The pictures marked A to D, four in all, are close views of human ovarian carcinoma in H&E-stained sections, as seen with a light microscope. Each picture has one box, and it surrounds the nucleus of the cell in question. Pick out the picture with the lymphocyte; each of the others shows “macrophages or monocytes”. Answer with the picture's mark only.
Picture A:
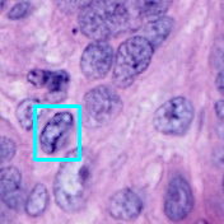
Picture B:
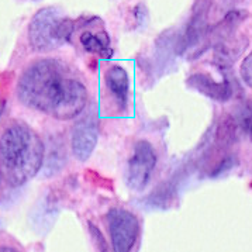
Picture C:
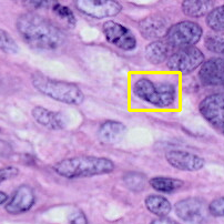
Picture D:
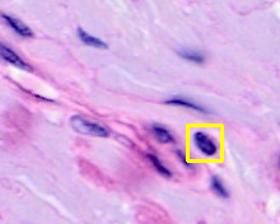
D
